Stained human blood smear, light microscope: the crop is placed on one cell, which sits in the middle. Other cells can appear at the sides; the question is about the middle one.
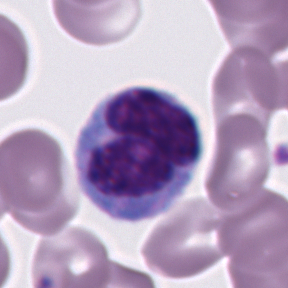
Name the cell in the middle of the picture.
monocyte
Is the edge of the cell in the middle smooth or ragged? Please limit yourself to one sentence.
Smooth outline, no projections: that is the whole story of its edge.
